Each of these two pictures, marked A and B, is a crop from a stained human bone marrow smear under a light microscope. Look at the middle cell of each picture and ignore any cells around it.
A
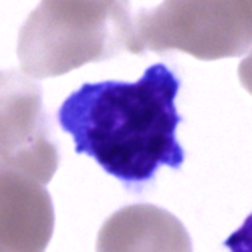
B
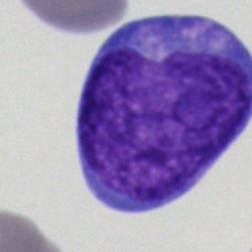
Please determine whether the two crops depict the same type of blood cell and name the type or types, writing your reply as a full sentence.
Yes, the first and the second crop both show blasts.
